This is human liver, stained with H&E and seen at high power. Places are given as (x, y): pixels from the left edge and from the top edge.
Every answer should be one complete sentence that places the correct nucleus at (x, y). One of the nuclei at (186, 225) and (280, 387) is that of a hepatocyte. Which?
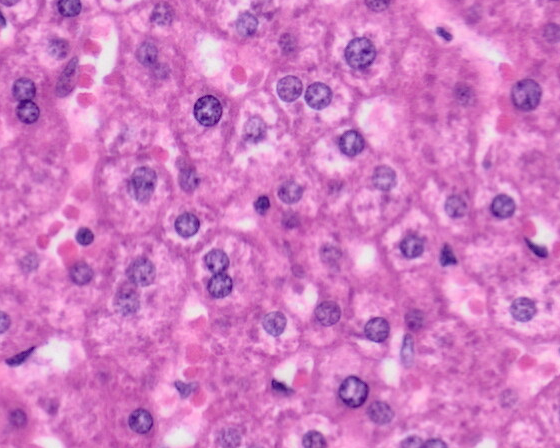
That would be the nucleus at (186, 225); it belongs to a hepatocyte.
